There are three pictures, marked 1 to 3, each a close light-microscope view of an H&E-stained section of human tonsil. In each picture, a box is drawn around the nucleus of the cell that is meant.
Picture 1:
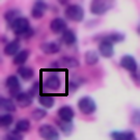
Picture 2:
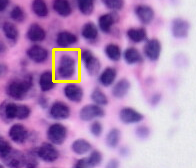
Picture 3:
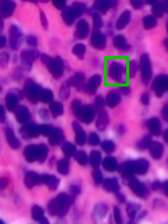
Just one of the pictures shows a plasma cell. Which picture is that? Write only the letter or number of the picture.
3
